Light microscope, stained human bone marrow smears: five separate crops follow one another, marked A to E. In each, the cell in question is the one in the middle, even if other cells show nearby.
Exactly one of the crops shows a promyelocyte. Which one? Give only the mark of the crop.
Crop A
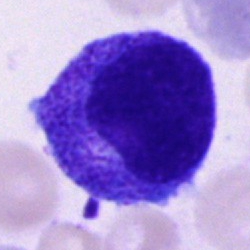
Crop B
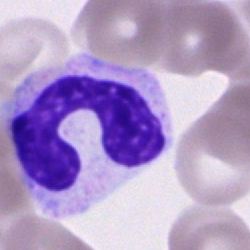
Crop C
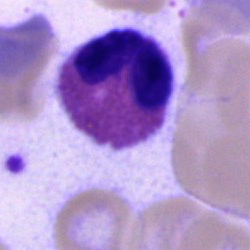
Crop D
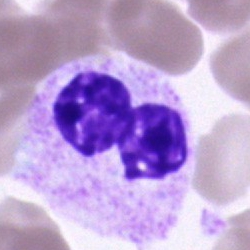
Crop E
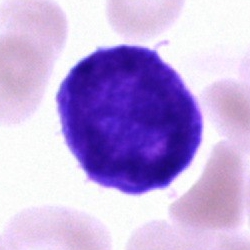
A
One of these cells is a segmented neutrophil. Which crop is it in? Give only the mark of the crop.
D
